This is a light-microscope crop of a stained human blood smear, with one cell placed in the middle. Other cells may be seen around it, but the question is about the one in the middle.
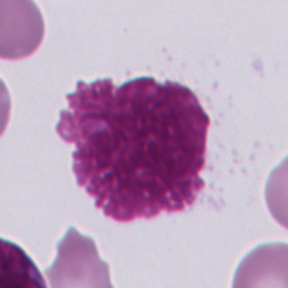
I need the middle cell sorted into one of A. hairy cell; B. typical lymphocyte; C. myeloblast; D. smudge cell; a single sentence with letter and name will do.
In the centre of the crop there is a smudge cell, making option D correct.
